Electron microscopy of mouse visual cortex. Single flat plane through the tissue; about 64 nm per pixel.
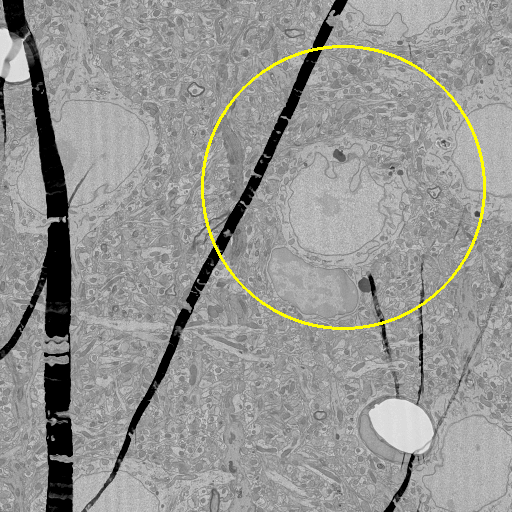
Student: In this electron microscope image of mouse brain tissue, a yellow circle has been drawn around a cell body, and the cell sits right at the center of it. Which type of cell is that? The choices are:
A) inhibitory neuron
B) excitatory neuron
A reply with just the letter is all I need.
A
